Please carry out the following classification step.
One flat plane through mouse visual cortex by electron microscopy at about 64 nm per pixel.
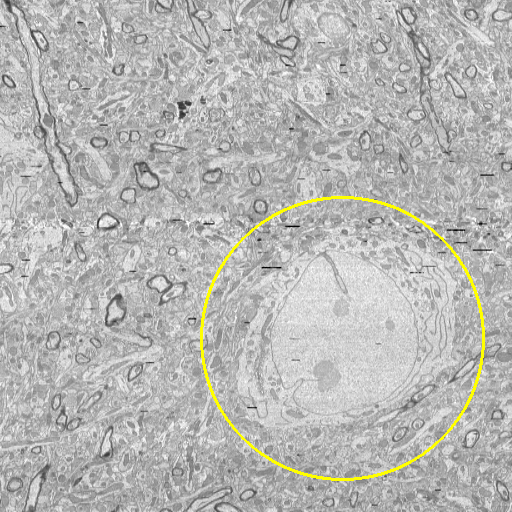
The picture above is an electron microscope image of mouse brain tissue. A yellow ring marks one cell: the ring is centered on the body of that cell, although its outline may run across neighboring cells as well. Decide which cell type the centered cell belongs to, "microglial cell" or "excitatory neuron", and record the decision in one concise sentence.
The cell centered in the yellow ring is an excitatory neuron.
